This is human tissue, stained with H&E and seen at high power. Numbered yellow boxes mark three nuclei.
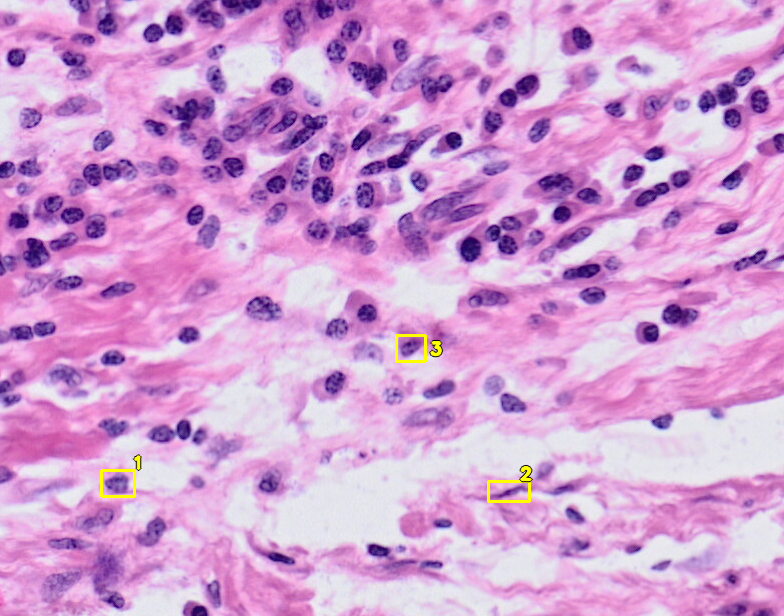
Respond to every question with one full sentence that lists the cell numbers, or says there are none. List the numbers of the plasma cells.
Where the numbered cells are concerned, only number 3 is a plasma cell.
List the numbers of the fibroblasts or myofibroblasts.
Among the labelled cells, only the cell labelled 2 is a fibroblast or myofibroblast.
